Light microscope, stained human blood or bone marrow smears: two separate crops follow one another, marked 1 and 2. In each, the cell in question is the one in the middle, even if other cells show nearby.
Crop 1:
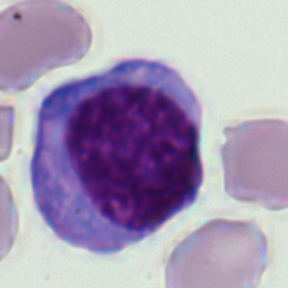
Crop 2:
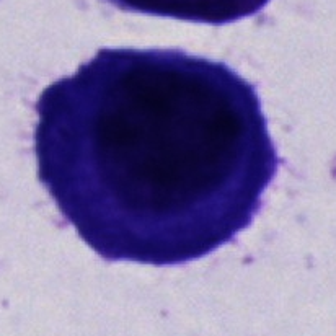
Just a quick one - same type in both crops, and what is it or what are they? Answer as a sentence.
Yes, the reply for both crops is plasma cells.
